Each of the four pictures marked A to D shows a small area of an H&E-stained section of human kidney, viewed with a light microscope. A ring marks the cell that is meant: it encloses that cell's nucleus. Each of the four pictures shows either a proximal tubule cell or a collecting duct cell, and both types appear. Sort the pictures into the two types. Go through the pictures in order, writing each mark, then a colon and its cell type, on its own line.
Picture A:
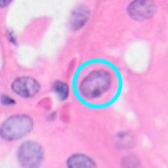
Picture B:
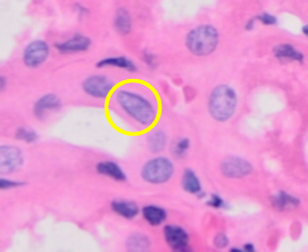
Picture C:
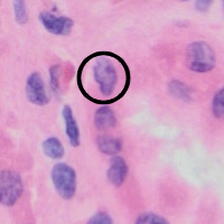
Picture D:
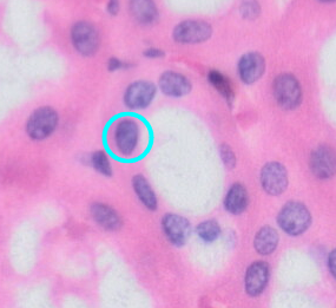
A: proximal tubule cell
B: collecting duct cell
C: proximal tubule cell
D: collecting duct cell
